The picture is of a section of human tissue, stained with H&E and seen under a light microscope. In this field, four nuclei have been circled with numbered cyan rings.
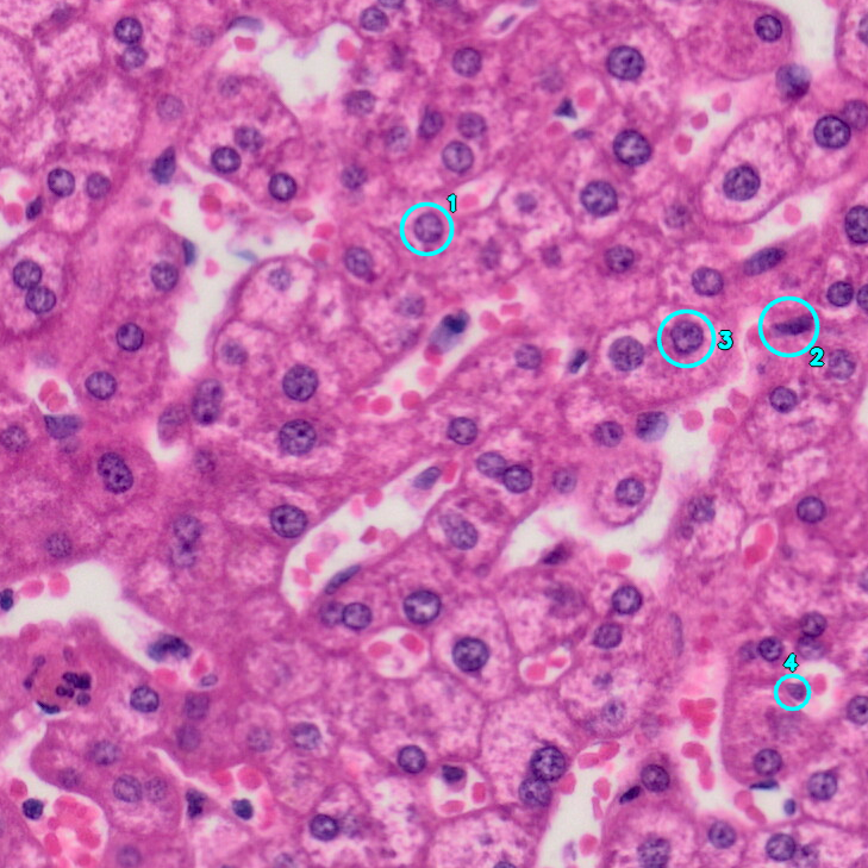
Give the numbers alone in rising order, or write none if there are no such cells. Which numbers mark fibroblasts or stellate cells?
2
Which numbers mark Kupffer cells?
4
